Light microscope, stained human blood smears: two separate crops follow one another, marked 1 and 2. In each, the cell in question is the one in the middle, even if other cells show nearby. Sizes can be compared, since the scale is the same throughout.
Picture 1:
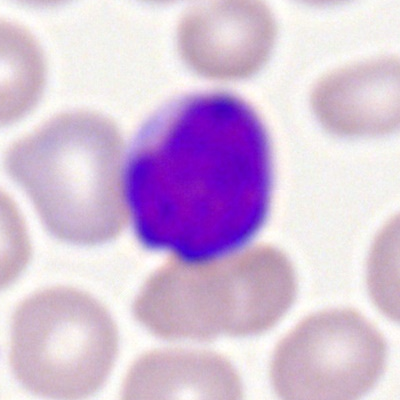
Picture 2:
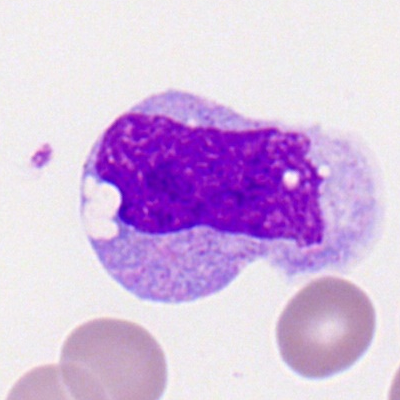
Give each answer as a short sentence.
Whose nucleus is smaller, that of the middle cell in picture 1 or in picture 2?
It is the nucleus in picture 1; the one in picture 2 has about 1.5 times its area.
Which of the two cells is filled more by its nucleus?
In picture 1 the nucleus takes up the larger part of its cell.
